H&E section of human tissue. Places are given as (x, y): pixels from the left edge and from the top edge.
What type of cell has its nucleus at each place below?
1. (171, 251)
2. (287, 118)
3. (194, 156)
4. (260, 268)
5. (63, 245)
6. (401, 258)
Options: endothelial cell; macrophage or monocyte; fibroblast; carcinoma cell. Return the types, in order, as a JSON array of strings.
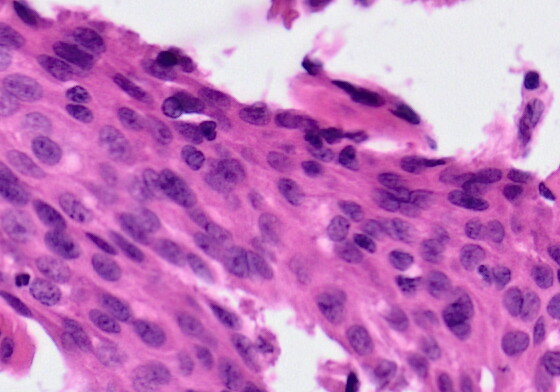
["carcinoma cell", "carcinoma cell", "macrophage or monocyte", "carcinoma cell", "carcinoma cell", "macrophage or monocyte"]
